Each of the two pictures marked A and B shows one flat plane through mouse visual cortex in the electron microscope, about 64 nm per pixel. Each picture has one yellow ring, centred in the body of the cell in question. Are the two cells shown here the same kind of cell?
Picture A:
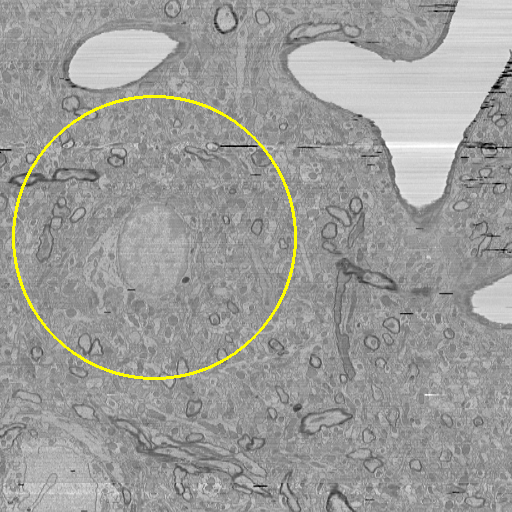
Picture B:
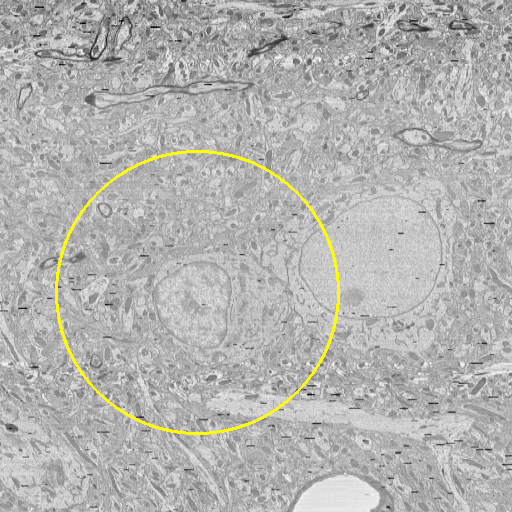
Yes, both are oligodendrocytes.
